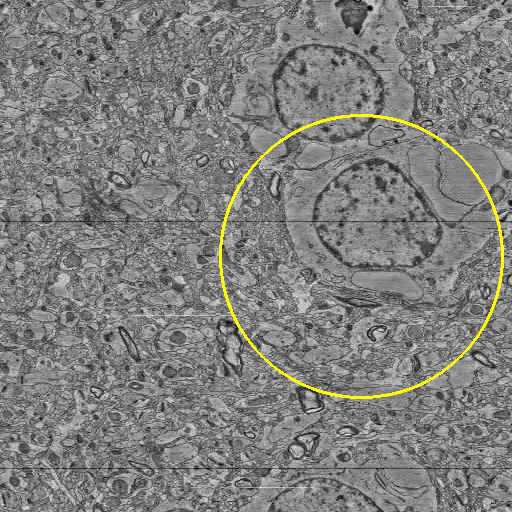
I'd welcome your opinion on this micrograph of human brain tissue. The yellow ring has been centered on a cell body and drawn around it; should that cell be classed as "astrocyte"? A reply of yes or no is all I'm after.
yes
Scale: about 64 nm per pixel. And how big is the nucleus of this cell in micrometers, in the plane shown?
About 8 micrometres across in this plane.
